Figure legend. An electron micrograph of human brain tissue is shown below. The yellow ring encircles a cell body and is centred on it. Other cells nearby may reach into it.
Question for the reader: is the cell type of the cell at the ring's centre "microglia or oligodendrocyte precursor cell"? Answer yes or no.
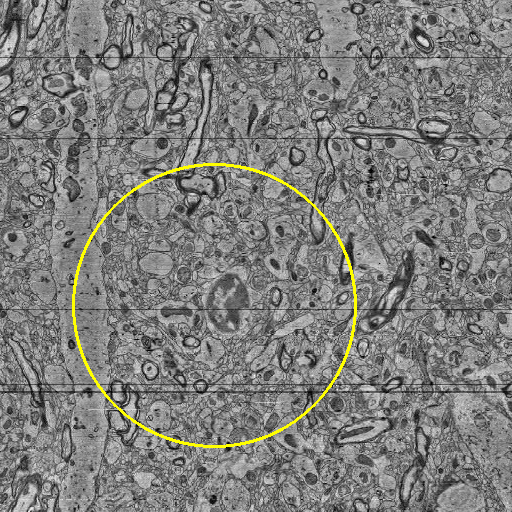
yes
